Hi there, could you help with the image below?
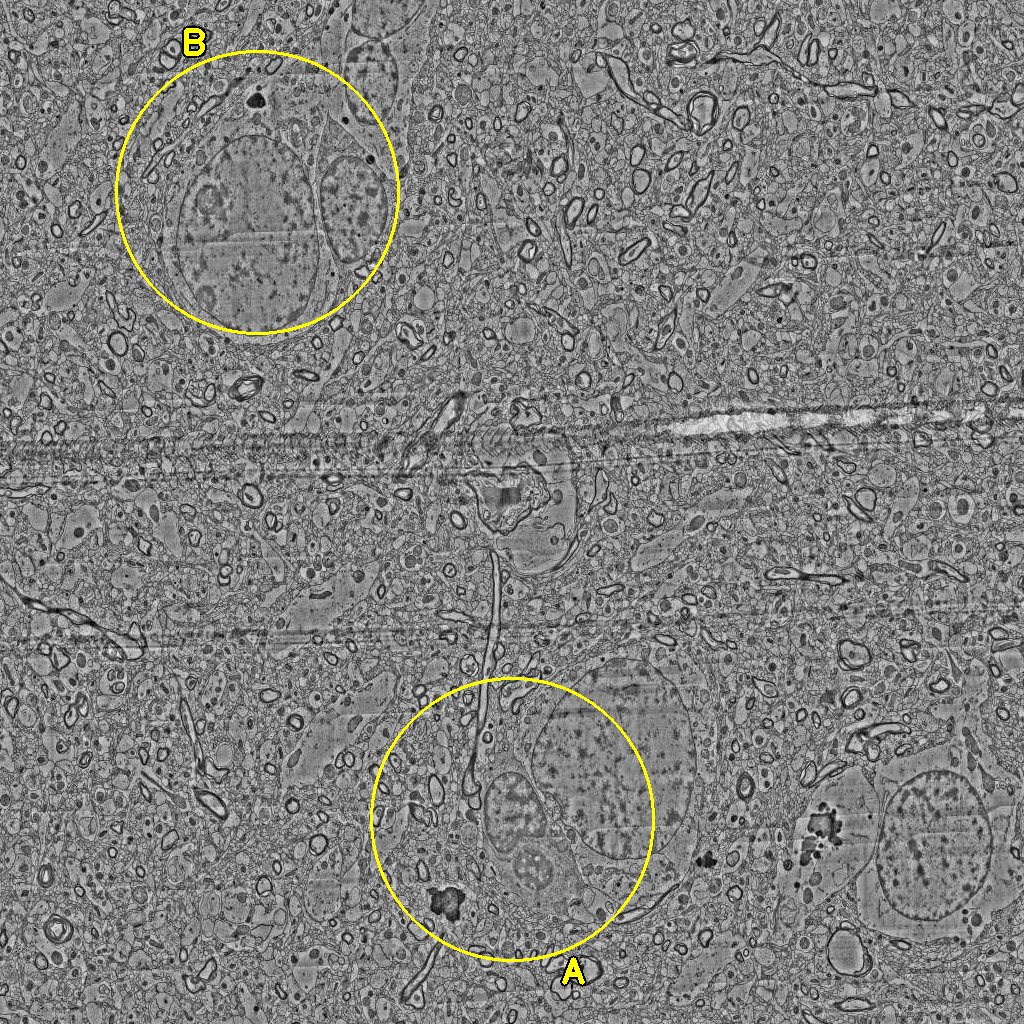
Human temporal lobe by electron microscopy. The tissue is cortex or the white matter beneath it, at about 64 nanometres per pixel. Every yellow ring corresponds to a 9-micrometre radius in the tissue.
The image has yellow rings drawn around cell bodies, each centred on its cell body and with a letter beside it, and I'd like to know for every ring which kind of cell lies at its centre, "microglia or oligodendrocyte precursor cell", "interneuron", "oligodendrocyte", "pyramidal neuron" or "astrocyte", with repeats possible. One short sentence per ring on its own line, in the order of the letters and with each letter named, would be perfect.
Ring A is placed around an oligodendrocyte.
Ring B is placed around a pyramidal neuron.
